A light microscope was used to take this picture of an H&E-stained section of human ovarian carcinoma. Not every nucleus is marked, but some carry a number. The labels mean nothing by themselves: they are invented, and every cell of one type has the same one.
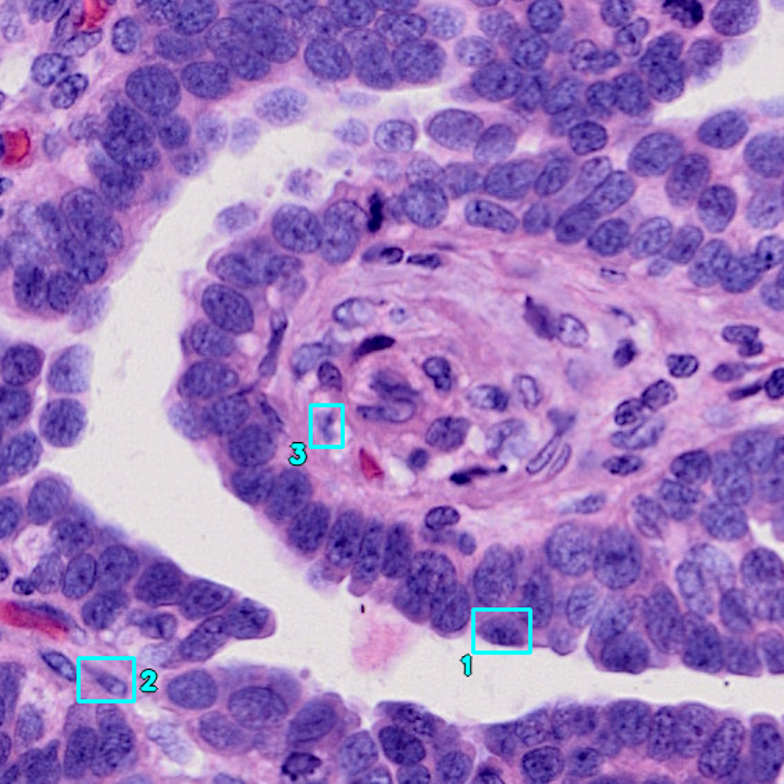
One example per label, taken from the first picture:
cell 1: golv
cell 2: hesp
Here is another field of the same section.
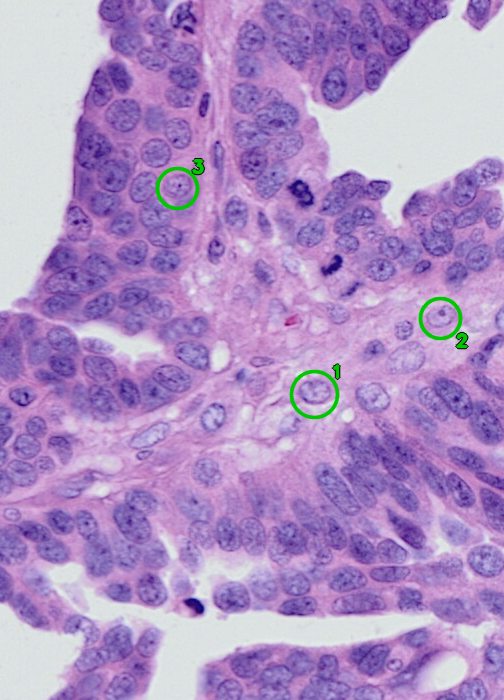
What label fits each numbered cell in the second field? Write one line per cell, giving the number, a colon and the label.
1: hesp
2: hesp
3: golv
